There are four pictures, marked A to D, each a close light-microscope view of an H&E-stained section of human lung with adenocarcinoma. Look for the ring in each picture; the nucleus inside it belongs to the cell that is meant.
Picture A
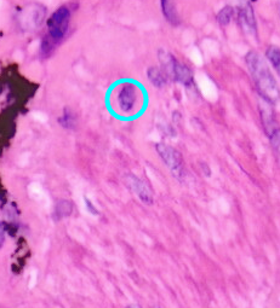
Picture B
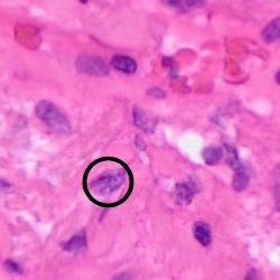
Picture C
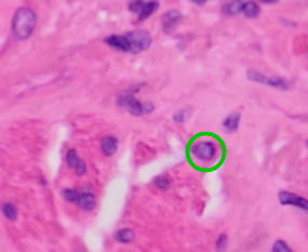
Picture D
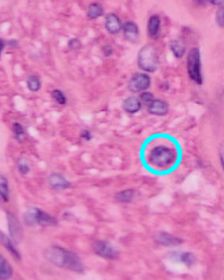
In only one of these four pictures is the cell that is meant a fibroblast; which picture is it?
B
